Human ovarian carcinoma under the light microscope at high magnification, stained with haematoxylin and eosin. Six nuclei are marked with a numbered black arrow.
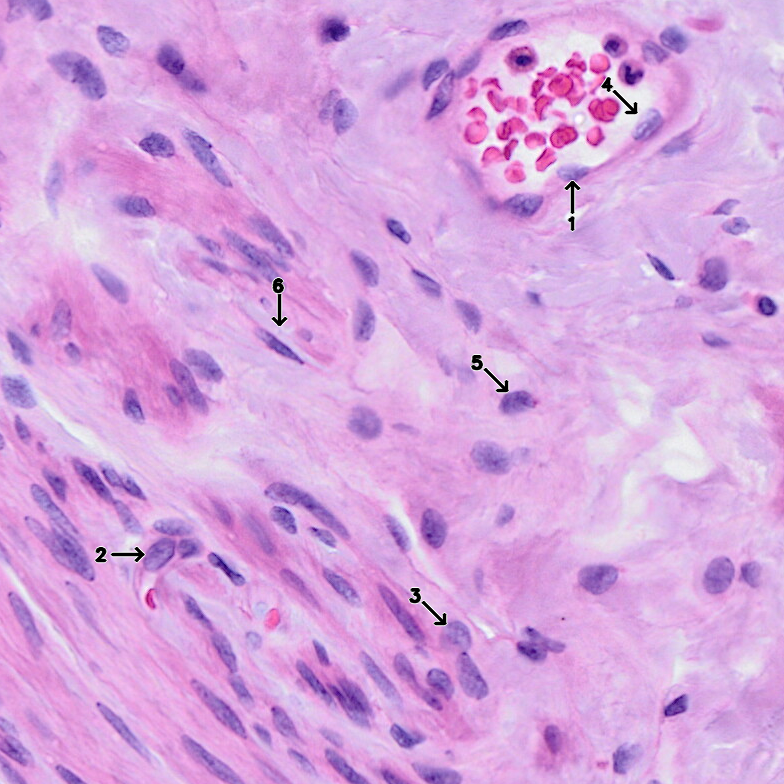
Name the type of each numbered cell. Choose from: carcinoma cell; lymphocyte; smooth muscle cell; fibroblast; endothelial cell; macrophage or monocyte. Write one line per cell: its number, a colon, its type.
1: endothelial cell
2: endothelial cell
3: fibroblast
4: endothelial cell
5: fibroblast
6: smooth muscle cell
